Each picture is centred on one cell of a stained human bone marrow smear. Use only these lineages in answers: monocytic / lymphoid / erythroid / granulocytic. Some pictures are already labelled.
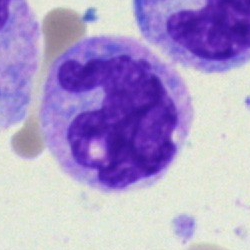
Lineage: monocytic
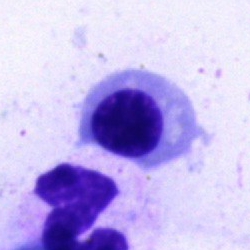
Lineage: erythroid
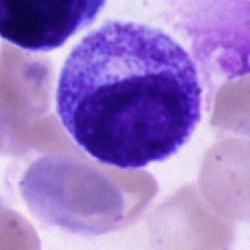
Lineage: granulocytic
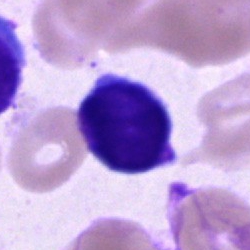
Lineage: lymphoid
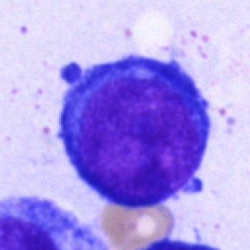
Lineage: erythroid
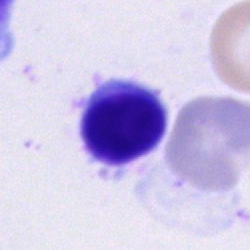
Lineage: lymphoid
